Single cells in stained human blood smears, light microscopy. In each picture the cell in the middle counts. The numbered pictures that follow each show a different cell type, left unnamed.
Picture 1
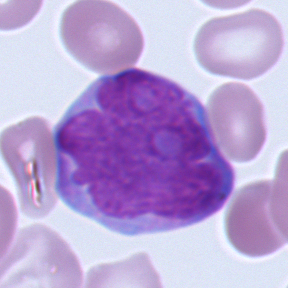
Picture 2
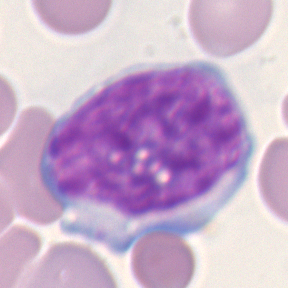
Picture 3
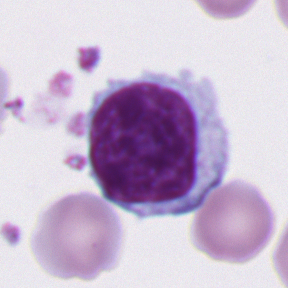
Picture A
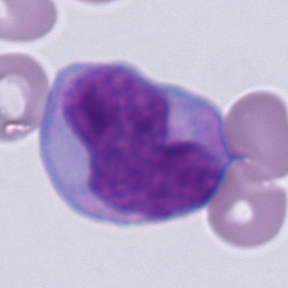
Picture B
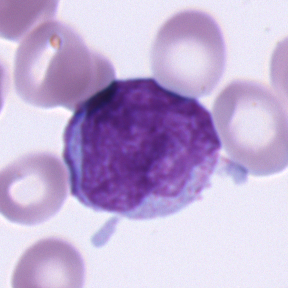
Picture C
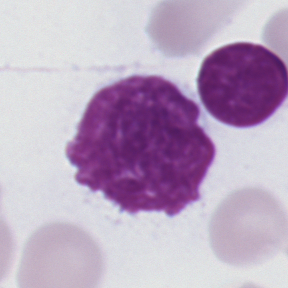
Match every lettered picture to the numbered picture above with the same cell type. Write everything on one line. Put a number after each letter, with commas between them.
A 1, B 1, C 2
